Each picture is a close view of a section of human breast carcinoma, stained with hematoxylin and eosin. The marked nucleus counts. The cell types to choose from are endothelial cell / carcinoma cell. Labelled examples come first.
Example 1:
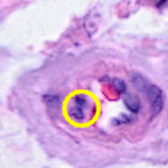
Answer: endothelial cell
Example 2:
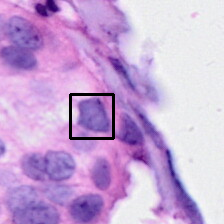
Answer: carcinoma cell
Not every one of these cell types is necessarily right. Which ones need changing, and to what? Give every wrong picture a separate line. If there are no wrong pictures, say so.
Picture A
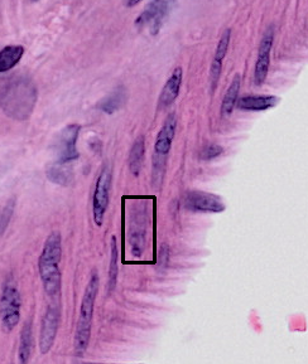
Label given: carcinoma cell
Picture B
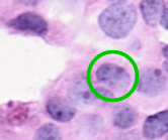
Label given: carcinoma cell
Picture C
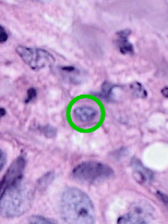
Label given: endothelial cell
Wrong: A (carcinoma cell); correct: endothelial cell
